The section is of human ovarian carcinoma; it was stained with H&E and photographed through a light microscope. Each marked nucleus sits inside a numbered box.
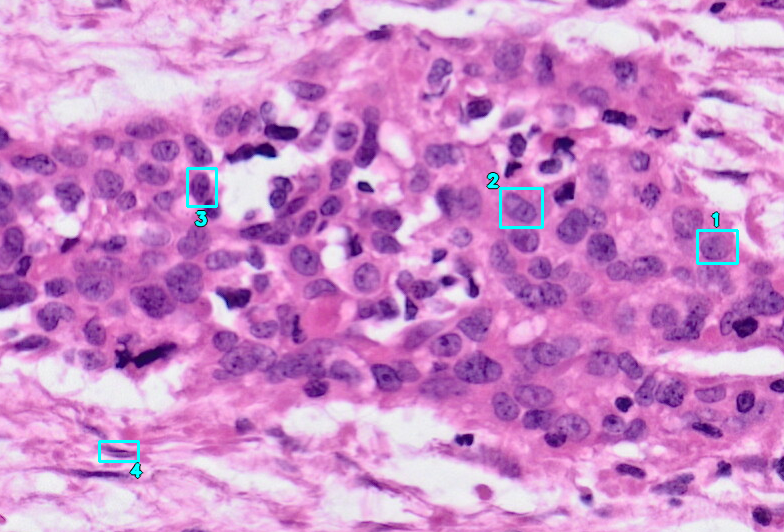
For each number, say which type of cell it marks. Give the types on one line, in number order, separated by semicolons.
carcinoma cell; carcinoma cell; carcinoma cell; fibroblast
